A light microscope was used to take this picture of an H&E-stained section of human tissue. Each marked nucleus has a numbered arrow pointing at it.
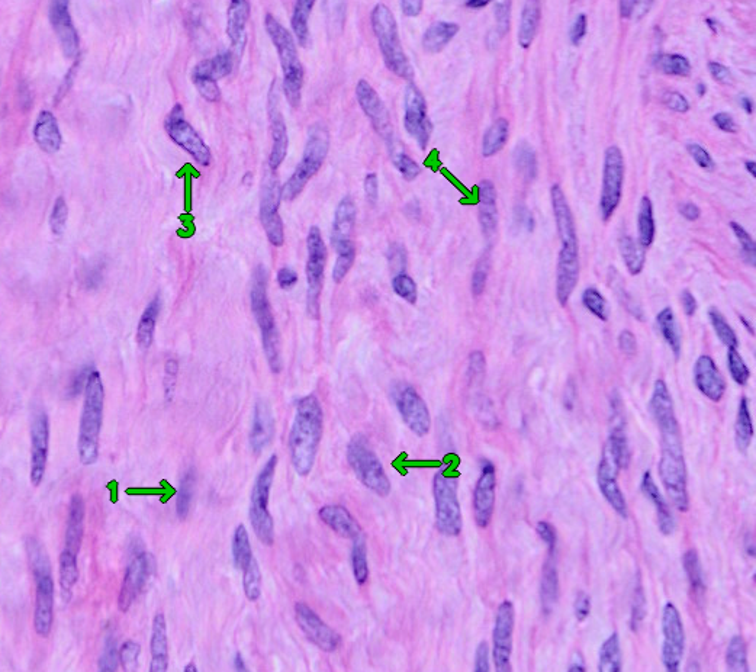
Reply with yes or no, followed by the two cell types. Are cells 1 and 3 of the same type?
No, in this section cell 1 is a fibroblast and cell 3 is a smooth muscle cell.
